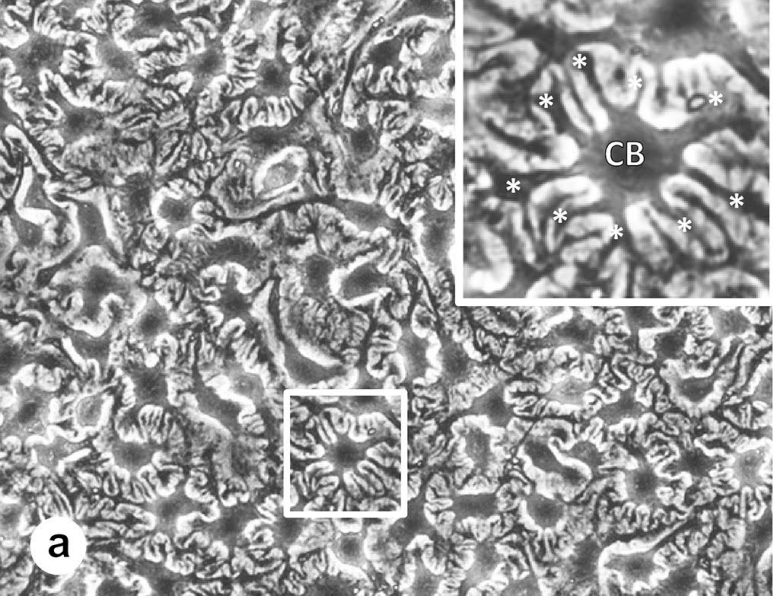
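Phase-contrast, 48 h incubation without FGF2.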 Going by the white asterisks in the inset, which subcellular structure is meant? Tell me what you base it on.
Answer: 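Thick radiating extensions leave a central dark cell body in the inset. The answer: Primary processes.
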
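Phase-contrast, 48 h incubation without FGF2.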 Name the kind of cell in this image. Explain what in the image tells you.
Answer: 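Podocytes. Cultured cells with dark central cell bodies. Many radiating, finely branched processes interdigitate with those of neighbouring cells.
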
